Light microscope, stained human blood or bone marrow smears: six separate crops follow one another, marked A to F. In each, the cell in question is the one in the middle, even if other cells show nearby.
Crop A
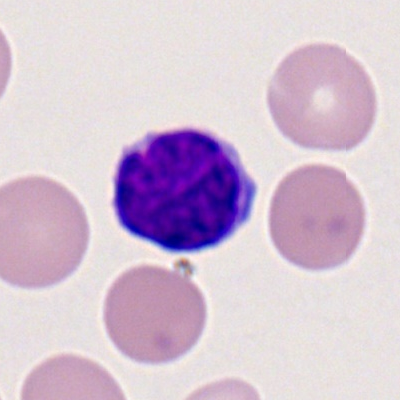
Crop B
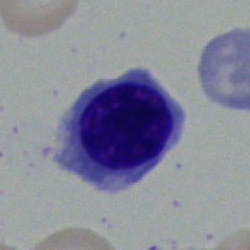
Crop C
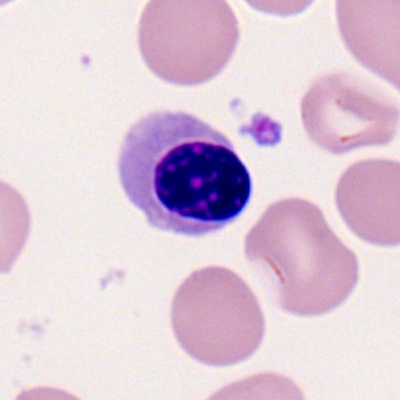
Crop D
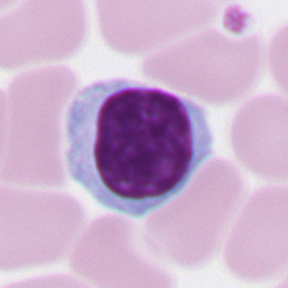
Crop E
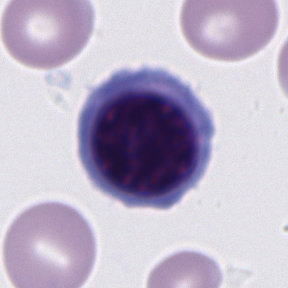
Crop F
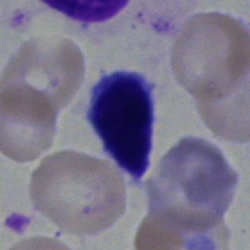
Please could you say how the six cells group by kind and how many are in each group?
lymphocyte: 3
erythroblast: 3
